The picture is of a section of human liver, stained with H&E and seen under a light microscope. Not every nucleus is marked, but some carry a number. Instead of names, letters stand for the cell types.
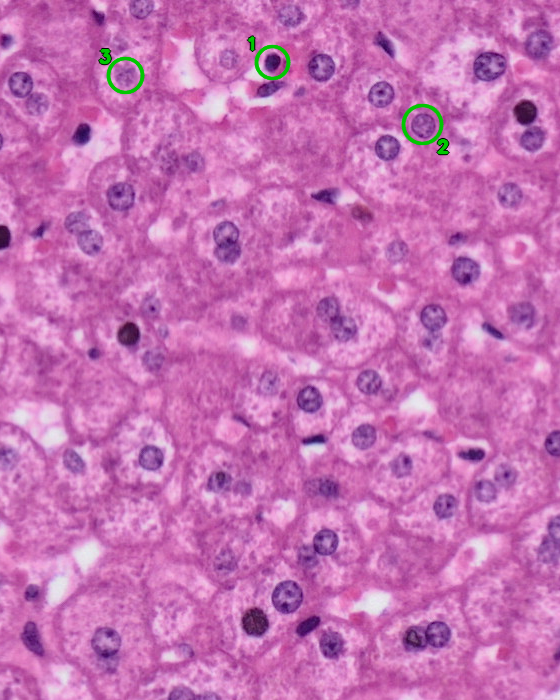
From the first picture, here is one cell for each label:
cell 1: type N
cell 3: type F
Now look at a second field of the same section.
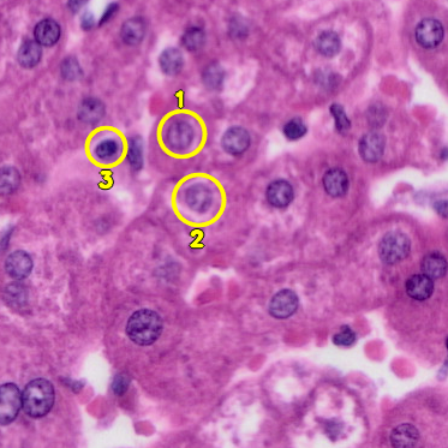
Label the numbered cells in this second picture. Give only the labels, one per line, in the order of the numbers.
type F
type F
type N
